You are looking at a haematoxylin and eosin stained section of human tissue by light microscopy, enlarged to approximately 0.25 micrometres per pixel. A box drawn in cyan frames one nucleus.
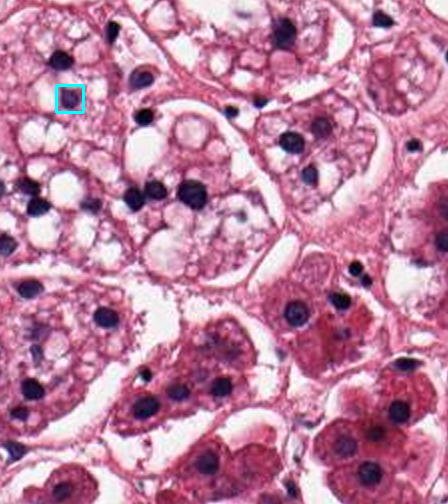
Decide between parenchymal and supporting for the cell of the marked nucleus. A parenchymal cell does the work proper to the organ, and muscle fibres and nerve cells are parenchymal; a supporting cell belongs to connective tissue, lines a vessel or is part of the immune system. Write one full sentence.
The marked nucleus is that of an adrenal cortical cell, which is a parenchymal cell.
